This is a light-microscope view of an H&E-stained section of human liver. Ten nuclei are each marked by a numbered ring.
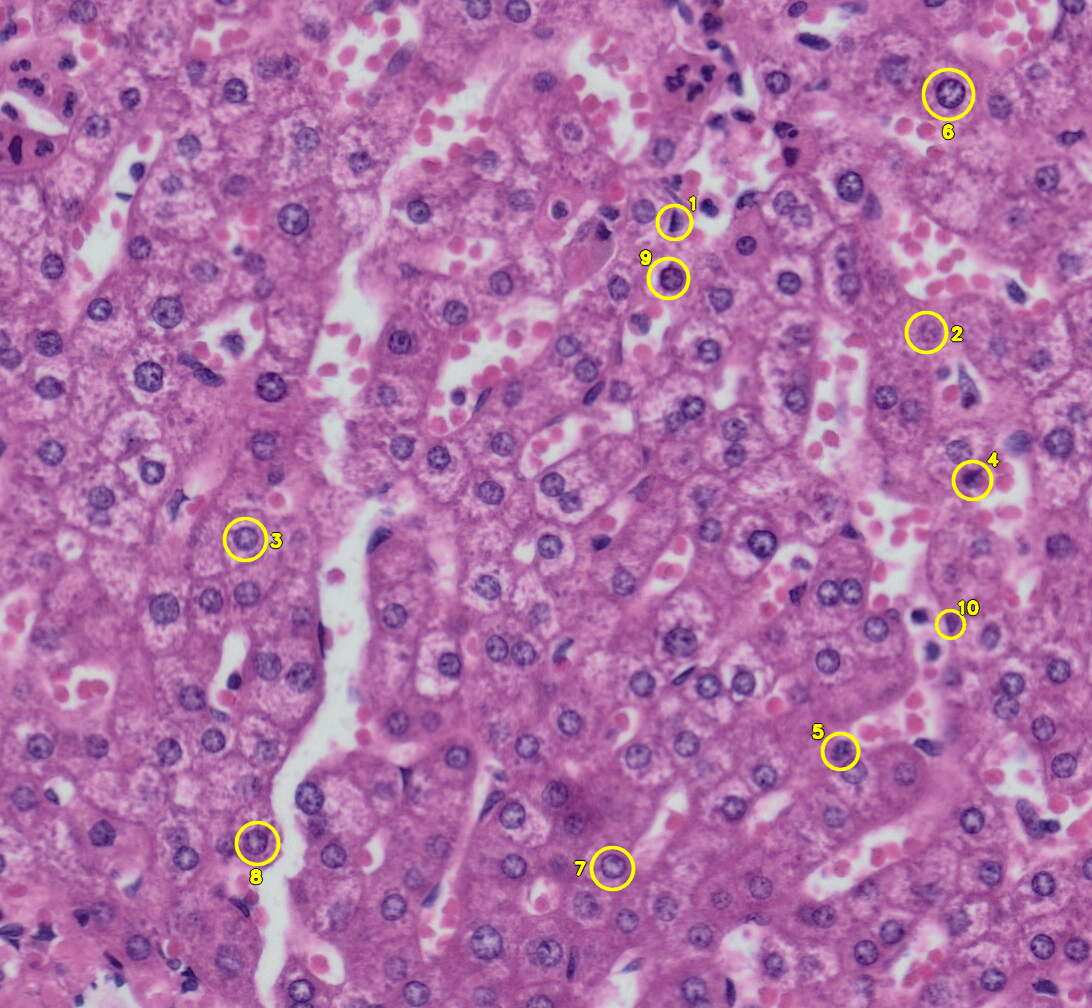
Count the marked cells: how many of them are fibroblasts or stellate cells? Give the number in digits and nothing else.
4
